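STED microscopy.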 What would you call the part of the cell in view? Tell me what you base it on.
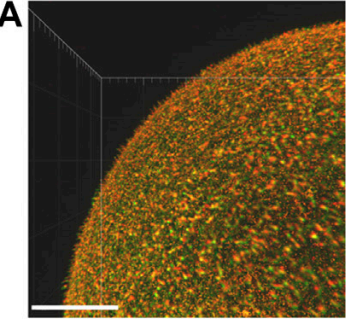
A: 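The surface is covered with dense small punctate and spiky projections. Fine projections stick out along the edge of the curved surface.
Microvilli.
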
